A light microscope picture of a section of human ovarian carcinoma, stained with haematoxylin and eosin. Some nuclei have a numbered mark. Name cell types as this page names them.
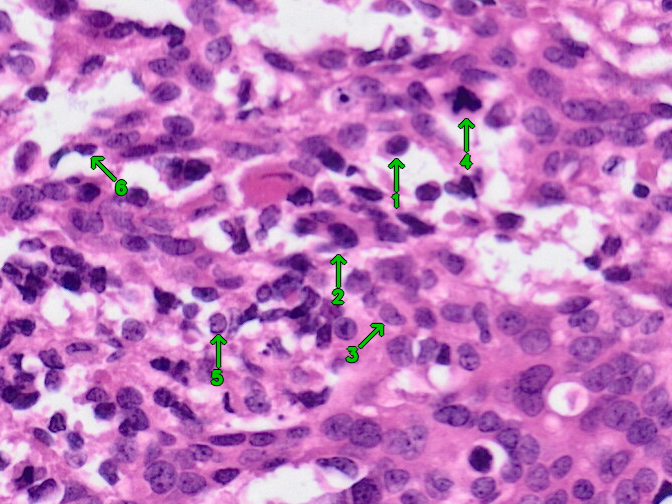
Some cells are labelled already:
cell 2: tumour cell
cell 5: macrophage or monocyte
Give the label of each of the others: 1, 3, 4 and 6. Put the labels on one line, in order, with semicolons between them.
tumour cell; macrophage or monocyte; tumour cell; tumour cell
